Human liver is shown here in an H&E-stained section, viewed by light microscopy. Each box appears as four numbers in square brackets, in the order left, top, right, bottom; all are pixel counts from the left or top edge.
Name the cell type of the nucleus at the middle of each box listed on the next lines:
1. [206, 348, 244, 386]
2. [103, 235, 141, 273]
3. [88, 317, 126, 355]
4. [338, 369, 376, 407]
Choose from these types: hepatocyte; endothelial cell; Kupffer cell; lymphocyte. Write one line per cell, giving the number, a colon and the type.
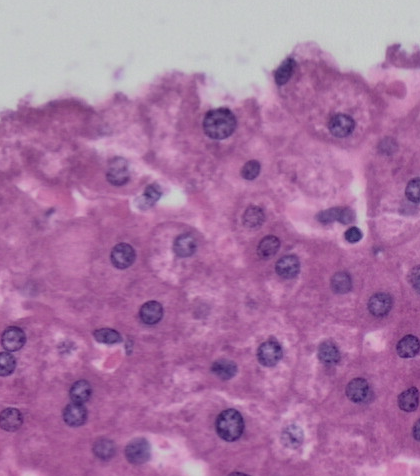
1: endothelial cell
2: hepatocyte
3: Kupffer cell
4: hepatocyte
